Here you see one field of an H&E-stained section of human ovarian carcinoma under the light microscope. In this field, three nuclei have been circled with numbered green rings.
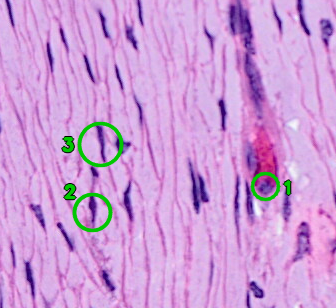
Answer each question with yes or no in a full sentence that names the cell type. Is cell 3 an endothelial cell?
No, the marked cell 3 is not an endothelial cell, being instead a fibroblast.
